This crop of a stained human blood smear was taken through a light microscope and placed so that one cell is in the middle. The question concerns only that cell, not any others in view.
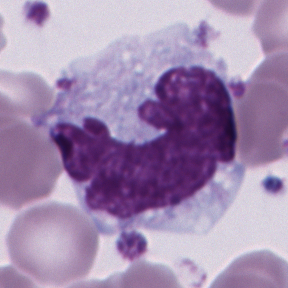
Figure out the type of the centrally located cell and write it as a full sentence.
Centrally within this crop lies a monocyte.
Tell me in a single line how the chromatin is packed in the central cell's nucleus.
Chromatin texture is fine, and coarse clumps are absent.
